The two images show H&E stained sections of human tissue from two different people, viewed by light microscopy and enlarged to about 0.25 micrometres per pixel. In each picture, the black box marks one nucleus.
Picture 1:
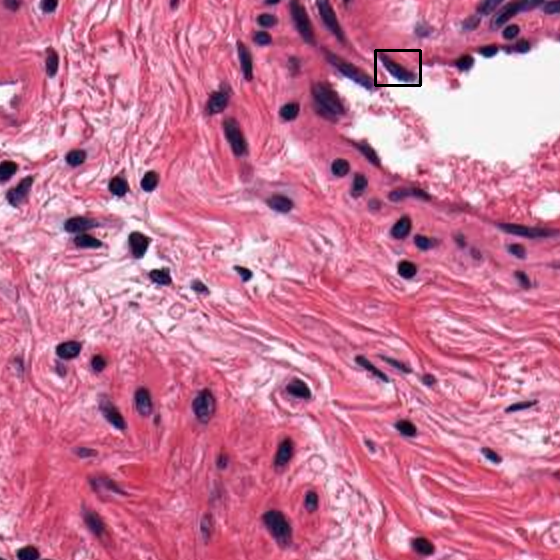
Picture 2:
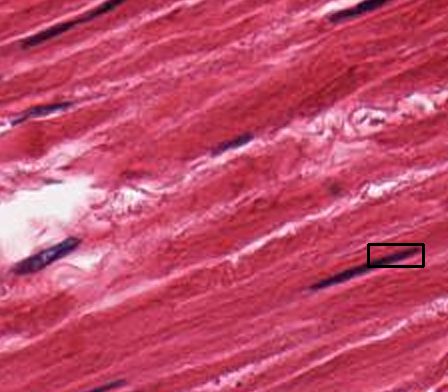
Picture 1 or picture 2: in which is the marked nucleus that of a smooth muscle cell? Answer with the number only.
2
